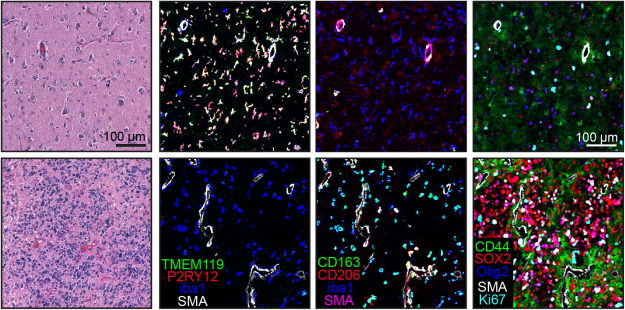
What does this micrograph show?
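In the upper row the tissue is a pale pink, fibrillar background with scattered nuclei lying well apart. In the lower row the nuclei are crowded close together, so the tissue is far more cellular. In the colour images the outlines of blood vessels stand out as white rings and strands.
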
